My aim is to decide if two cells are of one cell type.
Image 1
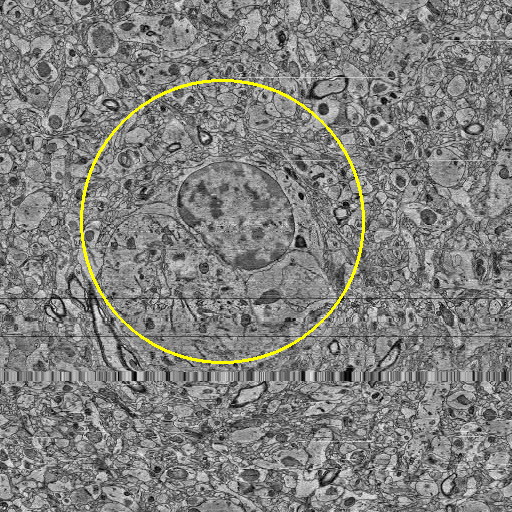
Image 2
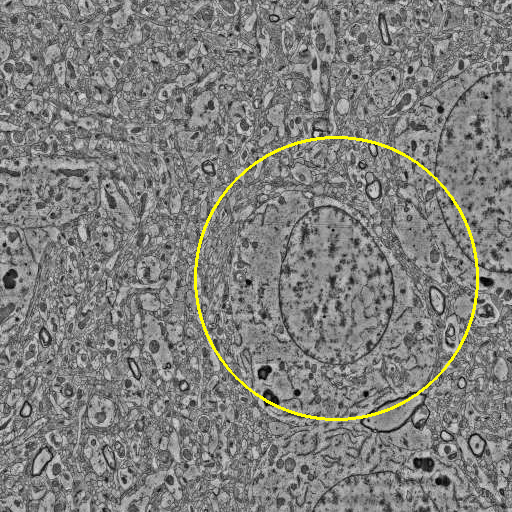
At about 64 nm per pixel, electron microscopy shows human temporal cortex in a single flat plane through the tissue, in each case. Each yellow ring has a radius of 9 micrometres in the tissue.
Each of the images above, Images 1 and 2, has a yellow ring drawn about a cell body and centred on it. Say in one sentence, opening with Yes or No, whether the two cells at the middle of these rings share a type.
No, in Images 1 and 2 the cells at the middle of the rings fall into two types.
